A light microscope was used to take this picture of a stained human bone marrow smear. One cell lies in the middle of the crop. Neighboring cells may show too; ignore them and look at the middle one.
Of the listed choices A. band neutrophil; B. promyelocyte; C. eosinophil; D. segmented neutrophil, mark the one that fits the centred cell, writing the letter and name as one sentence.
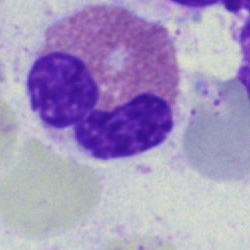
The middle of the crop holds an eosinophil, which points to option C.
